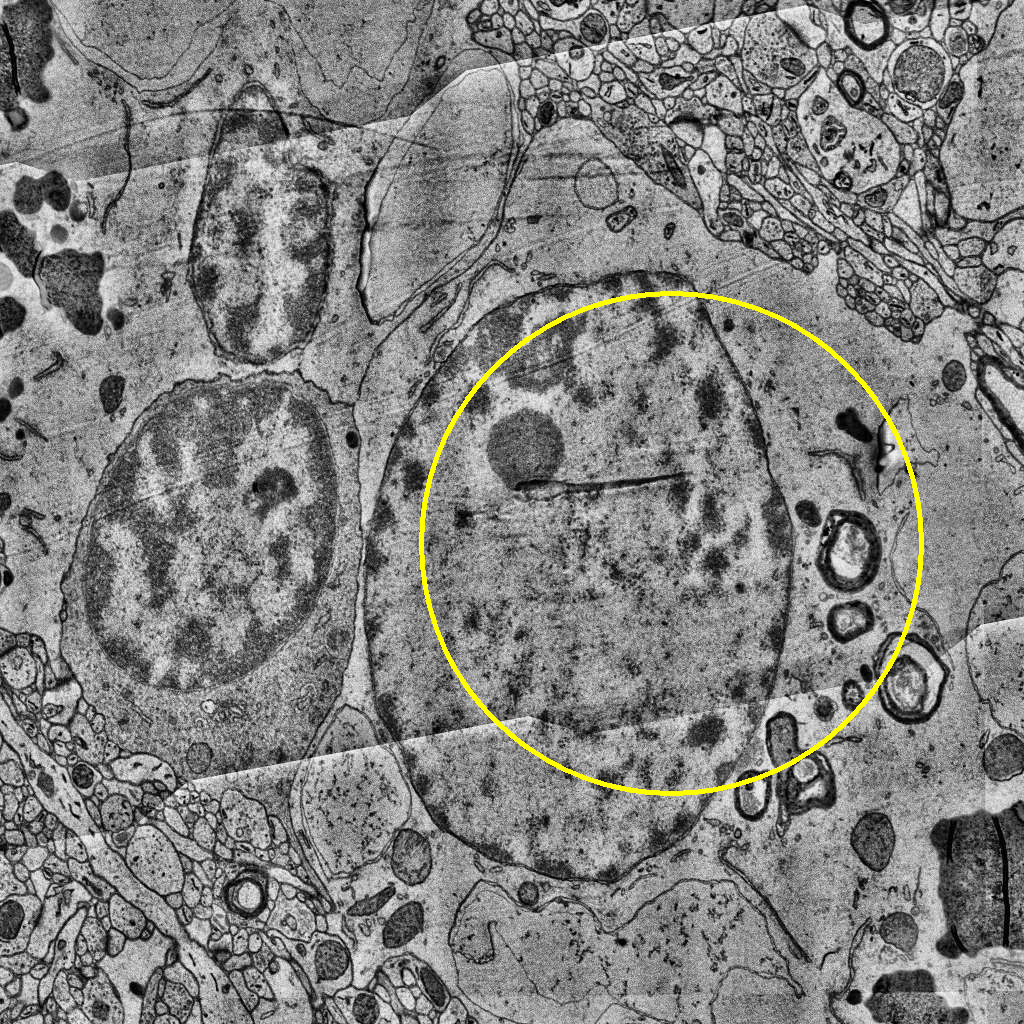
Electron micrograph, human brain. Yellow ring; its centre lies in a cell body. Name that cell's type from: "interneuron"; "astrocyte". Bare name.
astrocyte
